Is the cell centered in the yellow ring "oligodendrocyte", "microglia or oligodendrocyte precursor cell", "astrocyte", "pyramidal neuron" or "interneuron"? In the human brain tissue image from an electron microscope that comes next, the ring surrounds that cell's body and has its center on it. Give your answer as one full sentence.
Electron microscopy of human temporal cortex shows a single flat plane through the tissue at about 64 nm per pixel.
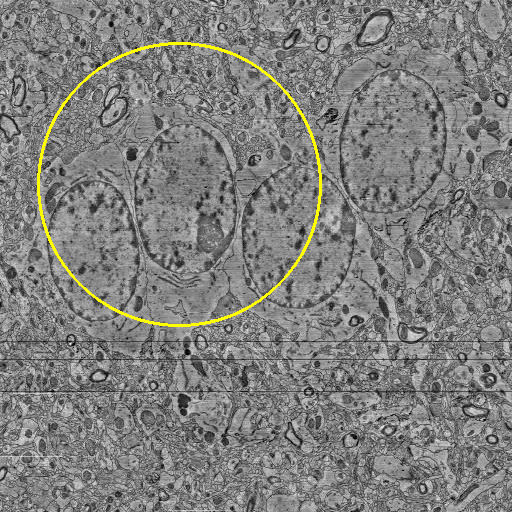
The cell at the center of the yellow ring is an astrocyte in the micrograph.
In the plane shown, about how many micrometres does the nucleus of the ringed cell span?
The nucleus measures about 10 by 7 micrometres in this plane.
